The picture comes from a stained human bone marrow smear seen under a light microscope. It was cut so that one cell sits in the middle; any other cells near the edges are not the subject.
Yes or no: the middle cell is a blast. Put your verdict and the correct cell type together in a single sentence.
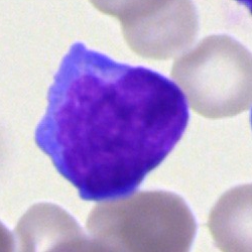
Yes, shown in the middle of the crop is a blast.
